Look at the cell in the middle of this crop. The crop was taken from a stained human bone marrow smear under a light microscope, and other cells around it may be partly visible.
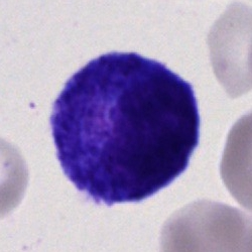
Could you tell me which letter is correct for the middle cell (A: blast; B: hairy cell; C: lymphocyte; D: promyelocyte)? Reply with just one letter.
D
